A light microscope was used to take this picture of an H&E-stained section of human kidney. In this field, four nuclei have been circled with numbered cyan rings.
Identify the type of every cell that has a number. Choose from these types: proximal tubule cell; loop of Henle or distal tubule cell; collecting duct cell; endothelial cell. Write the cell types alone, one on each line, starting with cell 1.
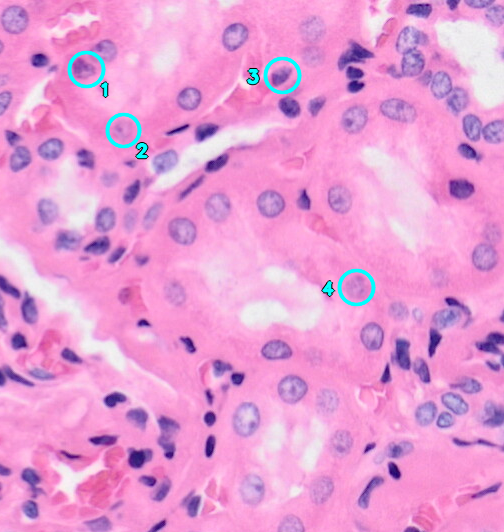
proximal tubule cell
proximal tubule cell
endothelial cell
proximal tubule cell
